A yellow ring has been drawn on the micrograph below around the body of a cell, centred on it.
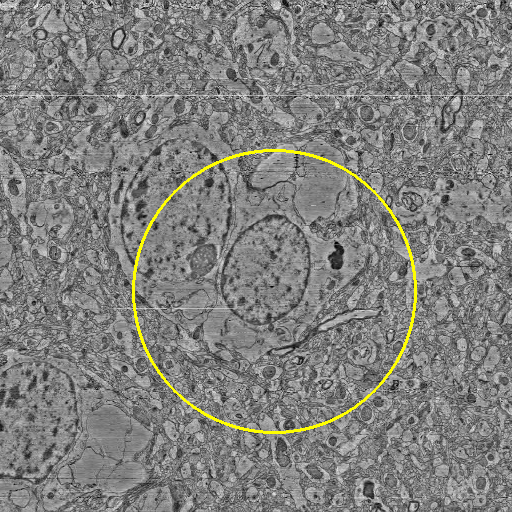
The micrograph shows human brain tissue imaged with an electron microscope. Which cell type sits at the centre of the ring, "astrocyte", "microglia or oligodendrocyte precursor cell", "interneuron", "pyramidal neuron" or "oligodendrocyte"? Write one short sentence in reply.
The cell sitting at the centre of the ring is an astrocyte.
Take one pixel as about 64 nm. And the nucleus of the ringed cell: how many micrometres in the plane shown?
In this plane, approximately 7 by 5 micrometers.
